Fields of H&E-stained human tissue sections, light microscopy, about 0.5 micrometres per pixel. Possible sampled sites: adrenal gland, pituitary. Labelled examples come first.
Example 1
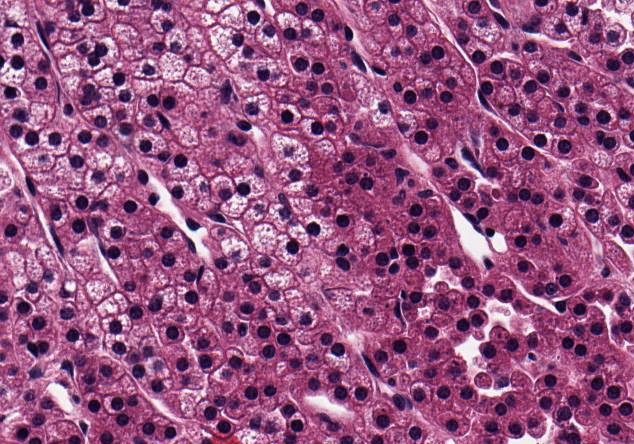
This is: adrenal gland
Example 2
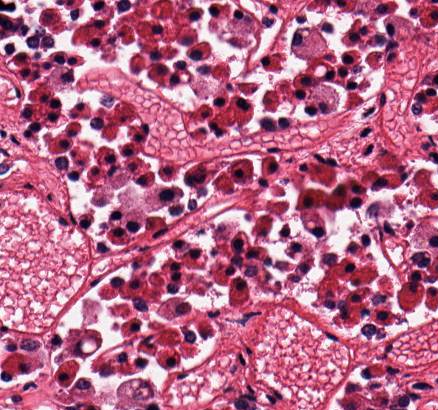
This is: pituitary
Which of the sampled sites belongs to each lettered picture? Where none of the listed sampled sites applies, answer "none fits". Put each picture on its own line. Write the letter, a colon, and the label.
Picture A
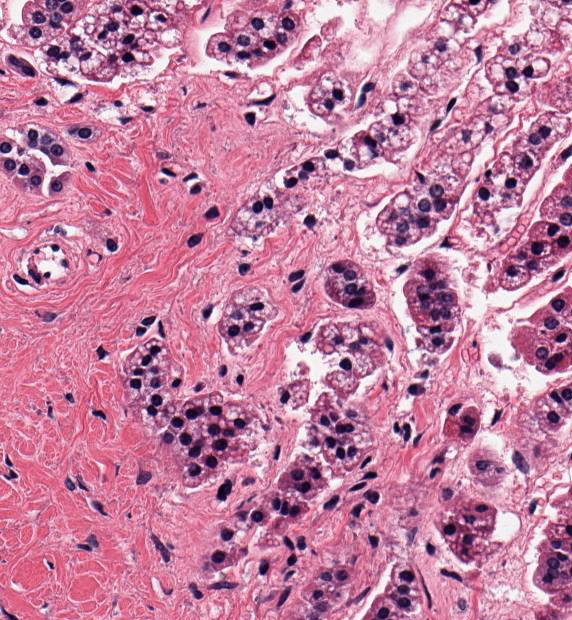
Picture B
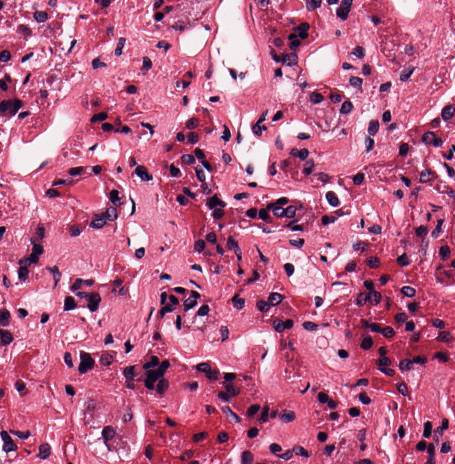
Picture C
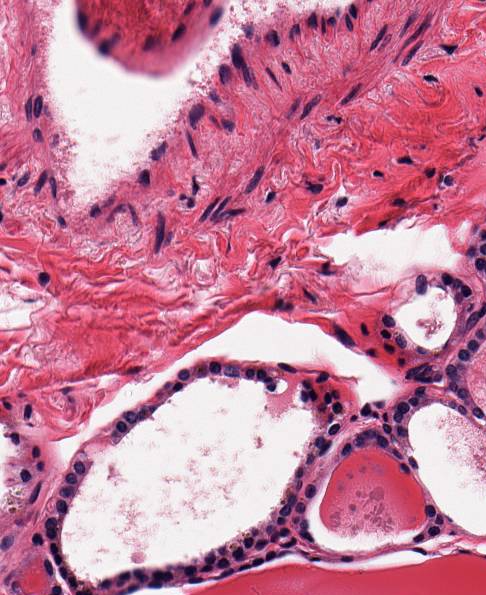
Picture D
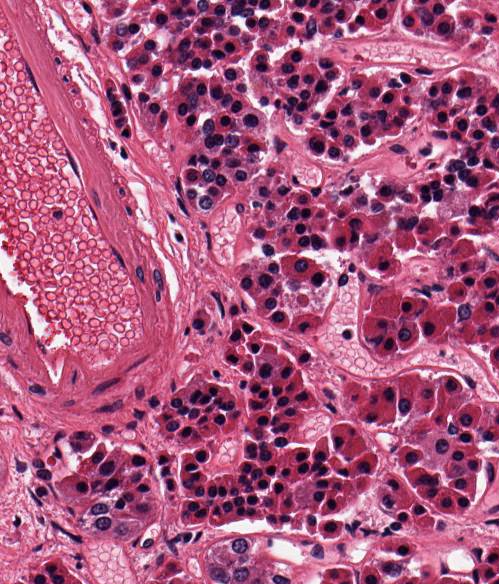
A: adrenal gland
B: pituitary
C: none fits
D: pituitary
